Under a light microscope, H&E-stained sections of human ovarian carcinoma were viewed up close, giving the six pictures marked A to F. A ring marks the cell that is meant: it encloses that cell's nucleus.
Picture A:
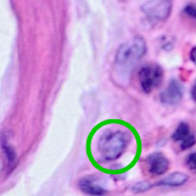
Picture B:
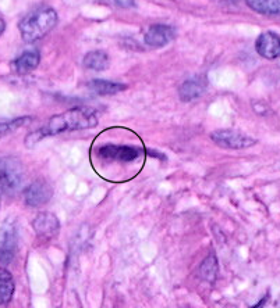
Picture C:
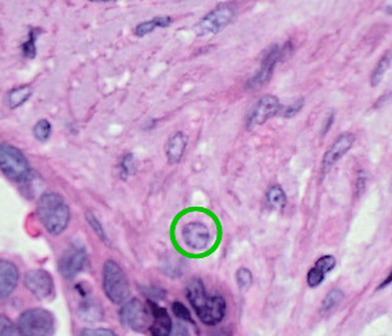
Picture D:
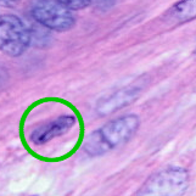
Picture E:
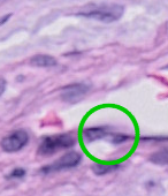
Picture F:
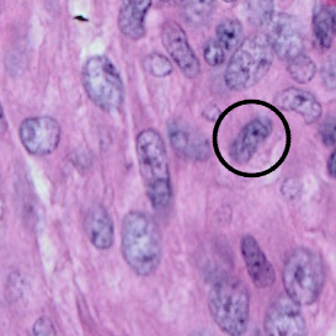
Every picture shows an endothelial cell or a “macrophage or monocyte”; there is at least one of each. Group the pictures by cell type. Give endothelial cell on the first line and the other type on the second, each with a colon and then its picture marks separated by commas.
endothelial cell: A, E
macrophage or monocyte: B, C, D, F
